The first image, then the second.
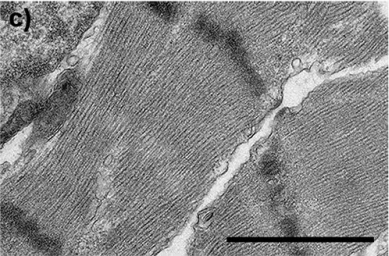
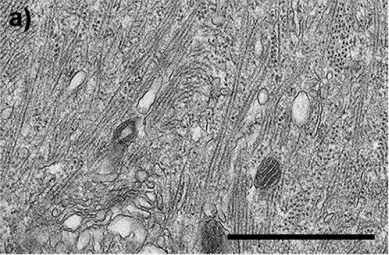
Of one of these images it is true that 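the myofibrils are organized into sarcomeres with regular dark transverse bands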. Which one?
The first image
